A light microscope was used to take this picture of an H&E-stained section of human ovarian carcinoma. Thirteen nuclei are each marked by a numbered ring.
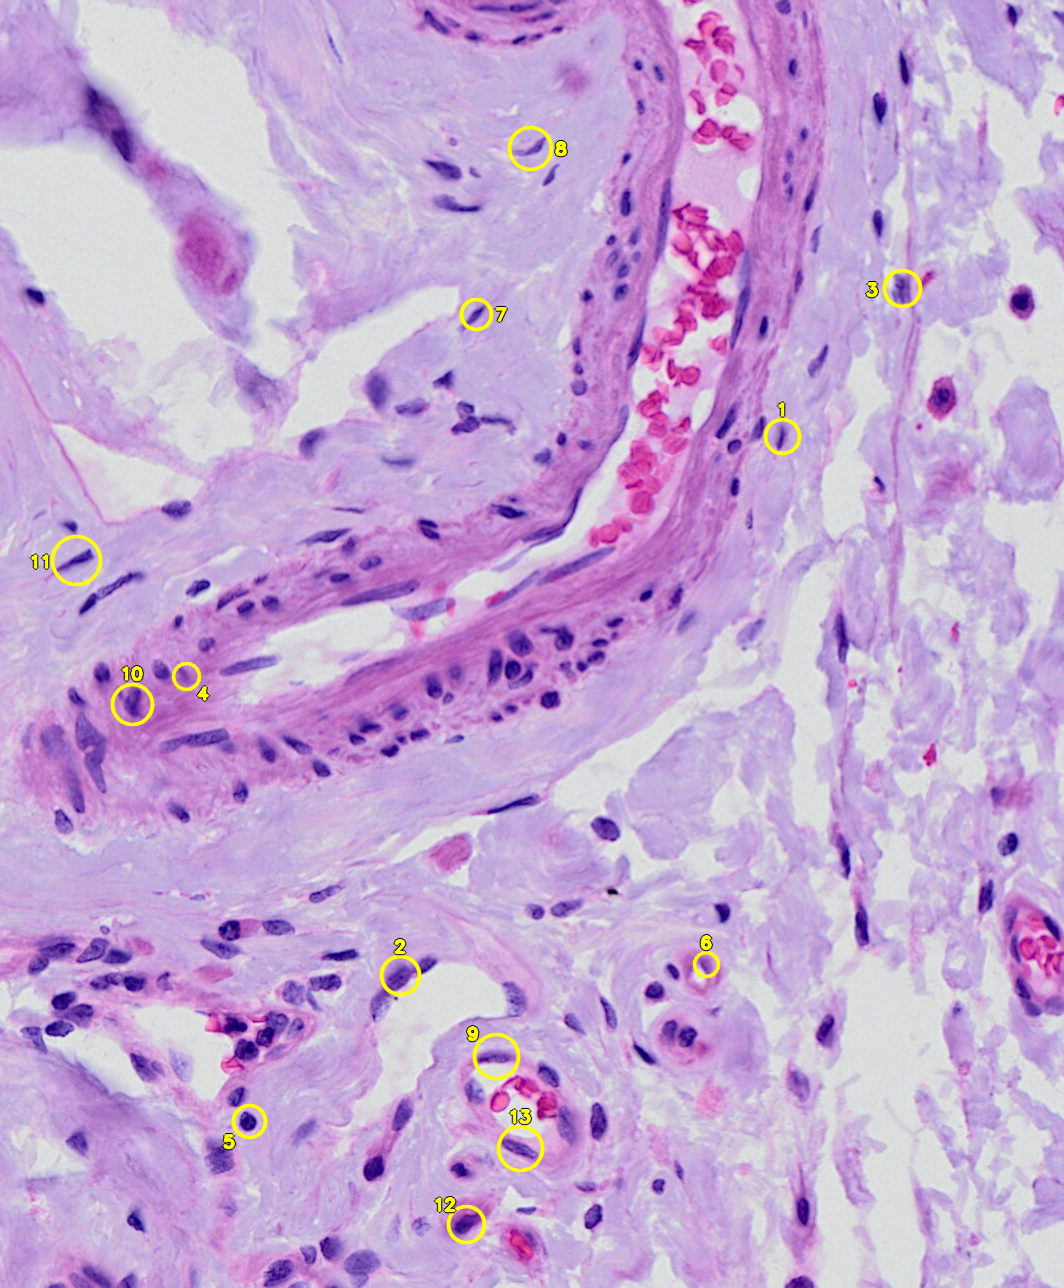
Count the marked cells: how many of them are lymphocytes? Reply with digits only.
1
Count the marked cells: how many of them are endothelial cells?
4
